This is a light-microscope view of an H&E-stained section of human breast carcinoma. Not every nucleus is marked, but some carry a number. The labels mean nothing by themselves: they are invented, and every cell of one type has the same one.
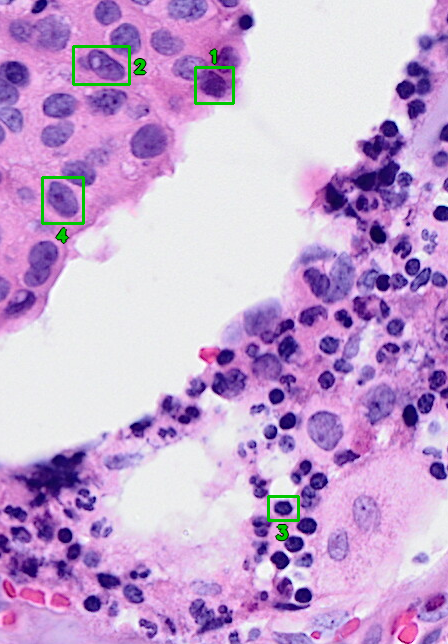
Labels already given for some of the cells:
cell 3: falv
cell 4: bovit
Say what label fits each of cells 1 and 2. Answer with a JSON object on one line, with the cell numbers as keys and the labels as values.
{"1": "bovit", "2": "bovit"}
